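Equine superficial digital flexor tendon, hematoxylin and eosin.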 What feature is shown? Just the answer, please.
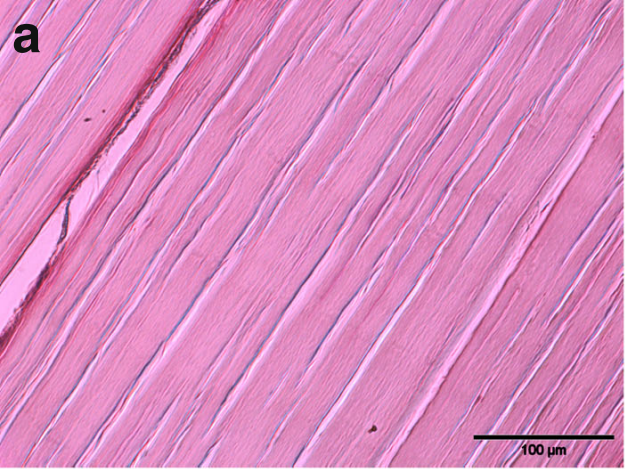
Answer: regularly aligned collagen fibrils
